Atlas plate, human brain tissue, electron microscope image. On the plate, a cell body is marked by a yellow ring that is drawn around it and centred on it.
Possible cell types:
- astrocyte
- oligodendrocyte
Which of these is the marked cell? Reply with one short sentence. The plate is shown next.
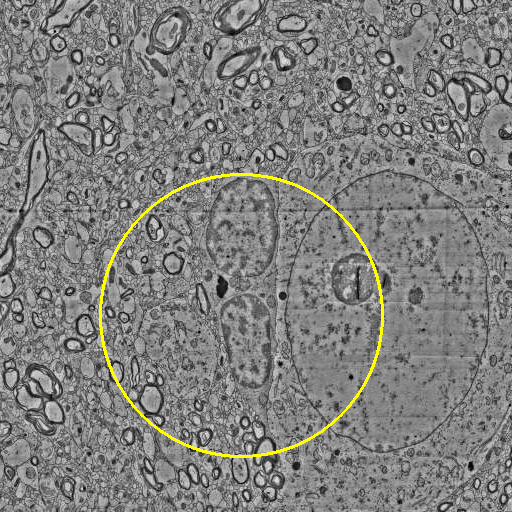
The marked cell is an oligodendrocyte.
